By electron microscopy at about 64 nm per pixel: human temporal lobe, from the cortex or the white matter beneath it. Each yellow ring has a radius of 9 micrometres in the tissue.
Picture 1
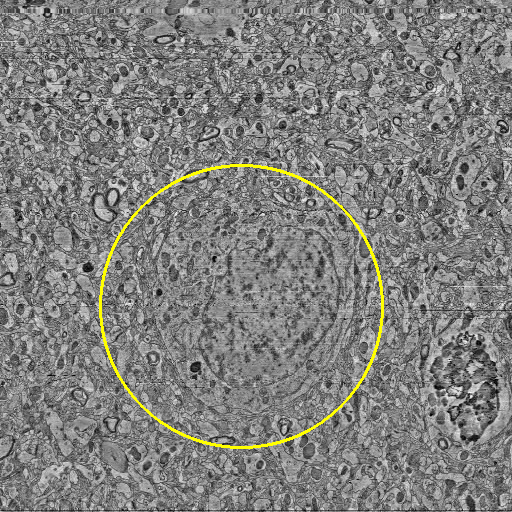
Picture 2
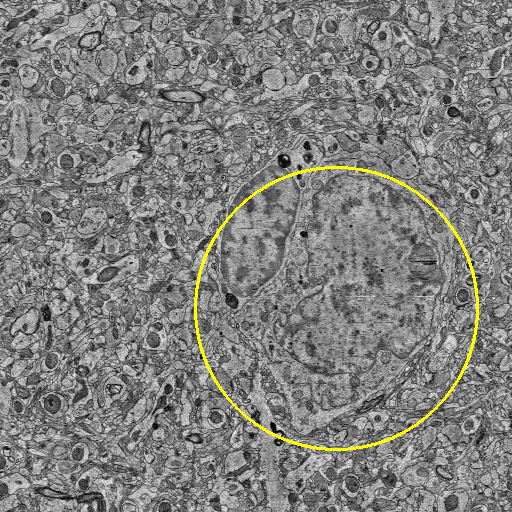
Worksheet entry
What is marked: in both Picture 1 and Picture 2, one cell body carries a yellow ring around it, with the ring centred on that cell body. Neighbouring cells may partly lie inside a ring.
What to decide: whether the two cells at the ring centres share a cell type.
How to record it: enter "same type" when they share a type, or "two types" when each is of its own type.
same type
